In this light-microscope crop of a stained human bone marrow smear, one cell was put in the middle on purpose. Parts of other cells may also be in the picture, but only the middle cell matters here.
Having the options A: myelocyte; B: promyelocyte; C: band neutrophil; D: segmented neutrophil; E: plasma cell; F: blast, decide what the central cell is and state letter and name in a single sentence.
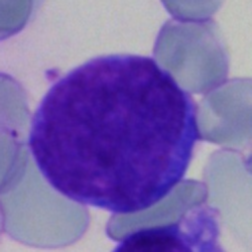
Option F is right, the centrally situated cell being a blast.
